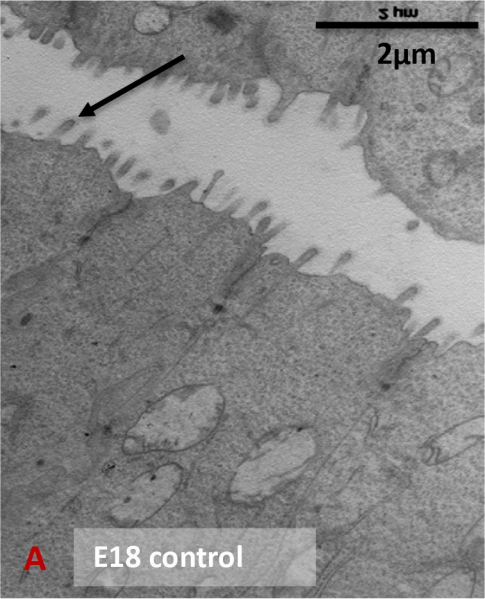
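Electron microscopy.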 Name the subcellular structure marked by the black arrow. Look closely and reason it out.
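Sparse, irregular, short finger-like projections stick out from the cell surfaces into a pale space. The projections are unevenly spaced and vary in length. On this evidence: microvilli.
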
